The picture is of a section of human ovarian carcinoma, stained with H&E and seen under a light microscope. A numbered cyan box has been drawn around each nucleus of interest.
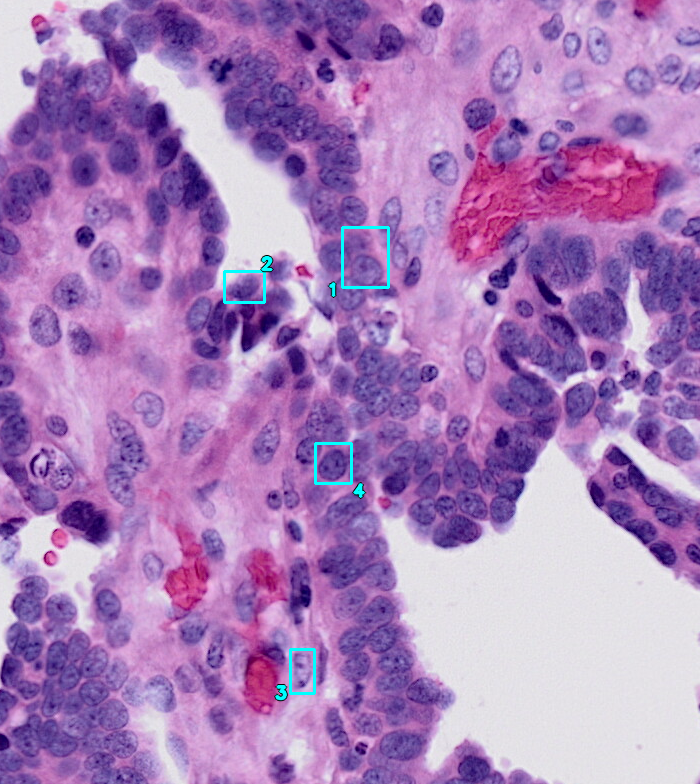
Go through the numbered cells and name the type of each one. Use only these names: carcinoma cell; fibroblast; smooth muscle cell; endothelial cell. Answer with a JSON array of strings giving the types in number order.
["carcinoma cell", "carcinoma cell", "fibroblast", "carcinoma cell"]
